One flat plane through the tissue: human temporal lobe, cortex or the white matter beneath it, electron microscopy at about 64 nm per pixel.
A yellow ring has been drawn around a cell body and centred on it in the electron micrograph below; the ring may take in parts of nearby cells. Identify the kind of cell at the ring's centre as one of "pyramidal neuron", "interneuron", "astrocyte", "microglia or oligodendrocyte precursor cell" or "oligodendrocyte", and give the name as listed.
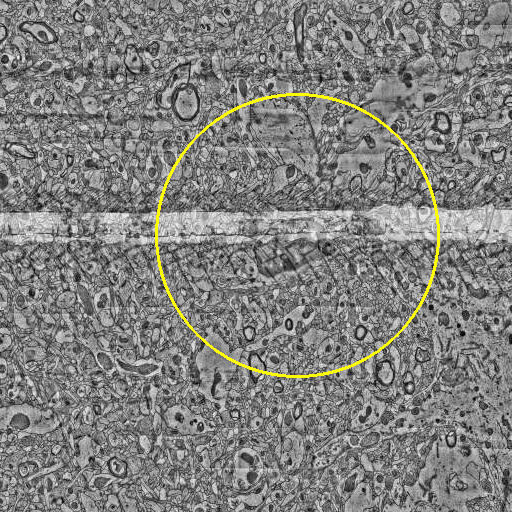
microglia or oligodendrocyte precursor cell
